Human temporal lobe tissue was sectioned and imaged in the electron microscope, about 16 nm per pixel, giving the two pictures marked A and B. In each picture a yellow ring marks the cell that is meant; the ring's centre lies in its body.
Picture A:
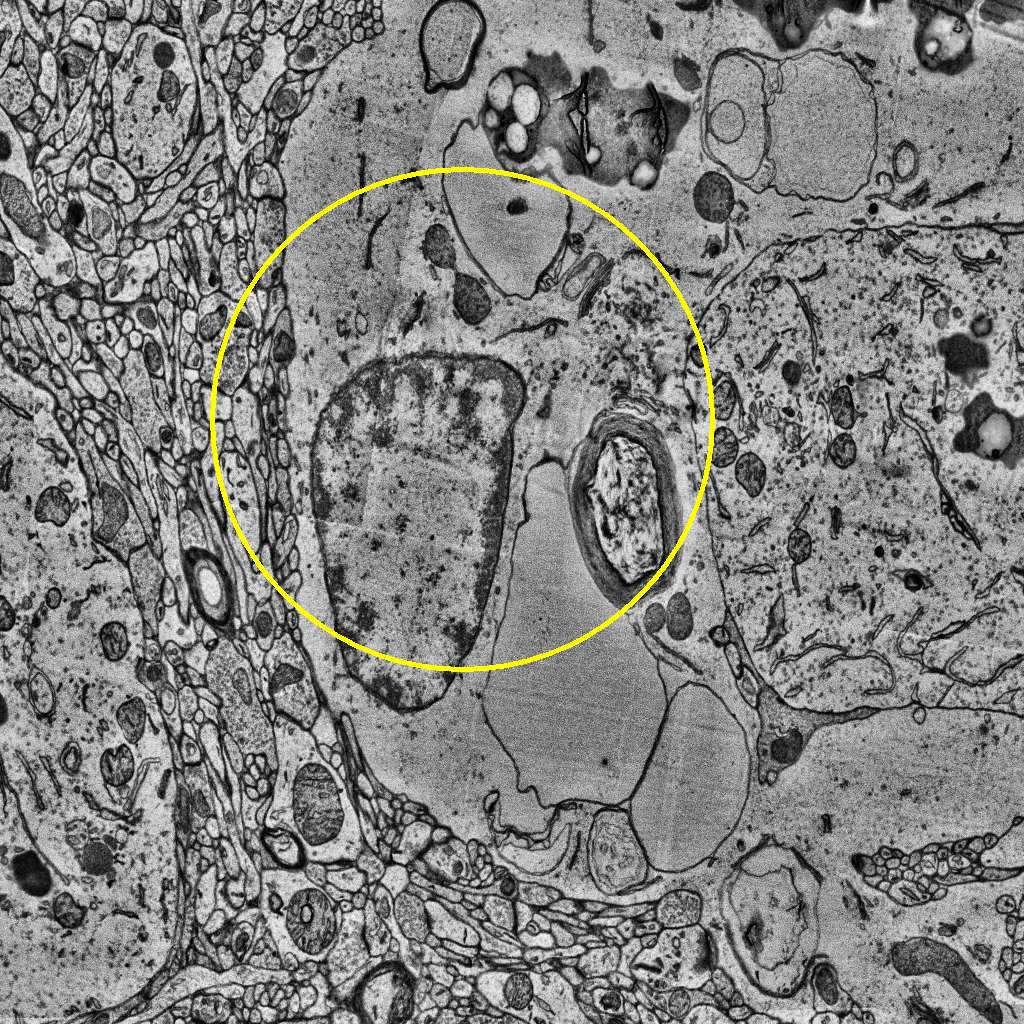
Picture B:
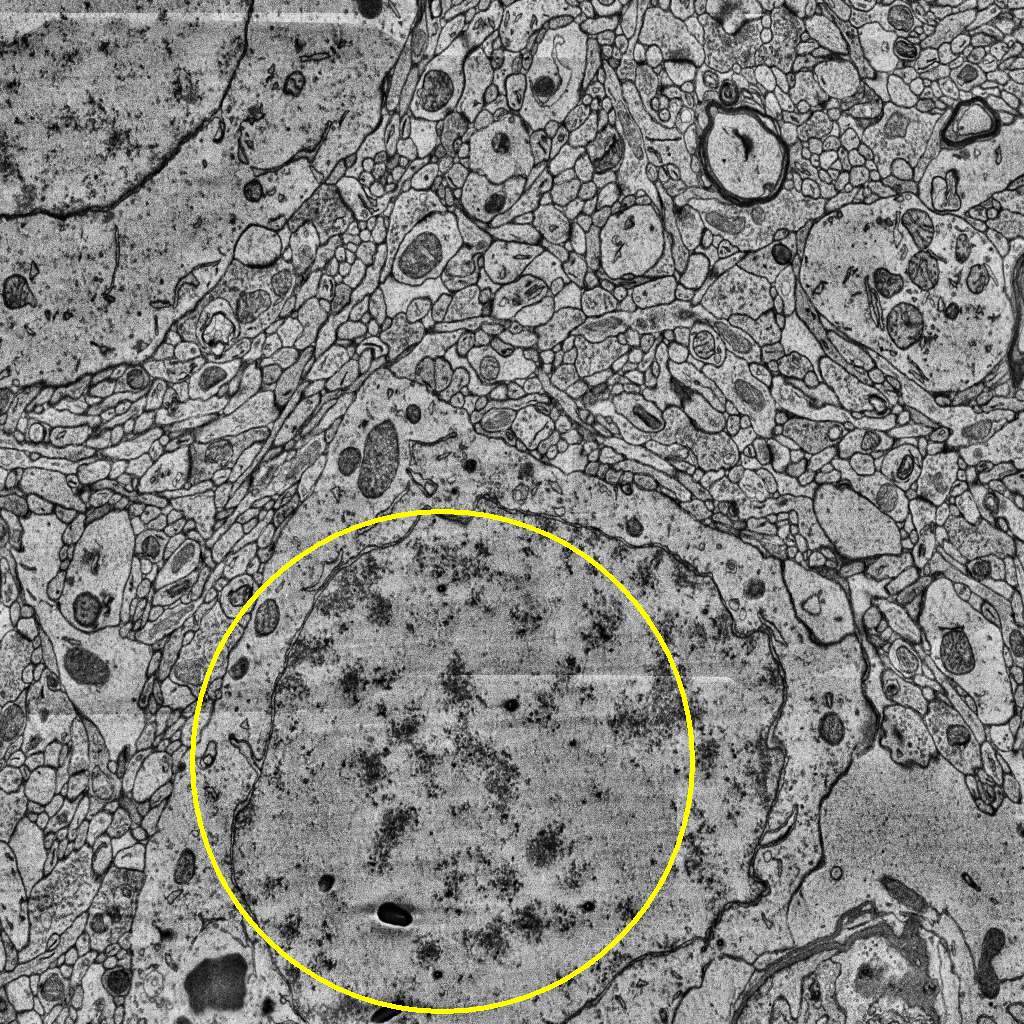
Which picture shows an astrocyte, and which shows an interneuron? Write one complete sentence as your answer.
The cell in picture A is an astrocyte, and the one in picture B is an interneuron.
